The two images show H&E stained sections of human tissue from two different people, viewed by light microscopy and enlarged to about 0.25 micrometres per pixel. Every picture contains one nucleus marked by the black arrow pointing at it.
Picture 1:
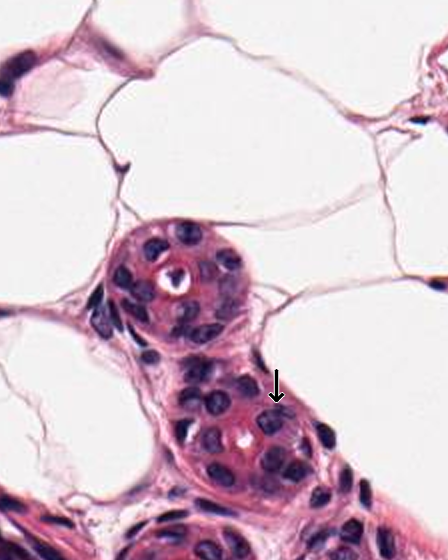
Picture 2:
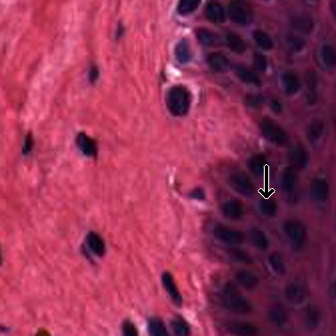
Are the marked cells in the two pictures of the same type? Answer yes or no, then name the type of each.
No, the first is a sweat gland cell and the second a keratinocyte.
